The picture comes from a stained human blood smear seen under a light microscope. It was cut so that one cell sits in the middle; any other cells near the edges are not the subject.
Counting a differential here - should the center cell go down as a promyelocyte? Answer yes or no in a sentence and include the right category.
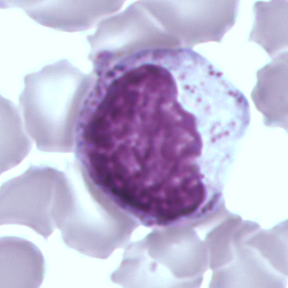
No, in this crop the central cell is a myelocyte instead of a promyelocyte.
